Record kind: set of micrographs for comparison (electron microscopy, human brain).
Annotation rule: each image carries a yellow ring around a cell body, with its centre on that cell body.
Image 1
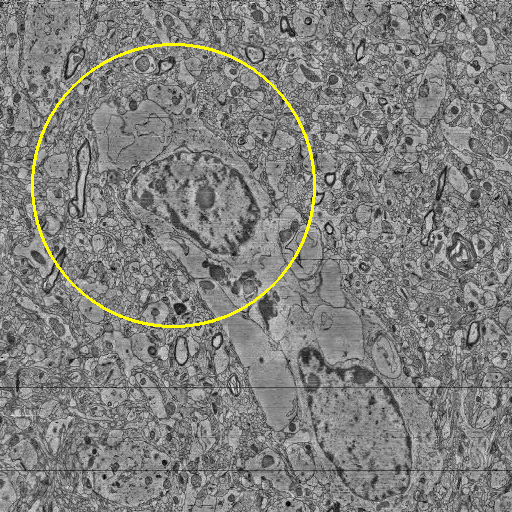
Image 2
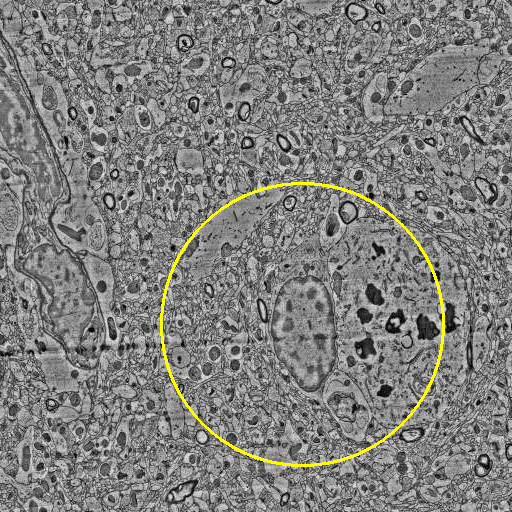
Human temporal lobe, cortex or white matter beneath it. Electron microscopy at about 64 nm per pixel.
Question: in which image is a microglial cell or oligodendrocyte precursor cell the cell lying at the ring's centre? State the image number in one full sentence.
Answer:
In image 1, the ring is centred on the cell in question.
